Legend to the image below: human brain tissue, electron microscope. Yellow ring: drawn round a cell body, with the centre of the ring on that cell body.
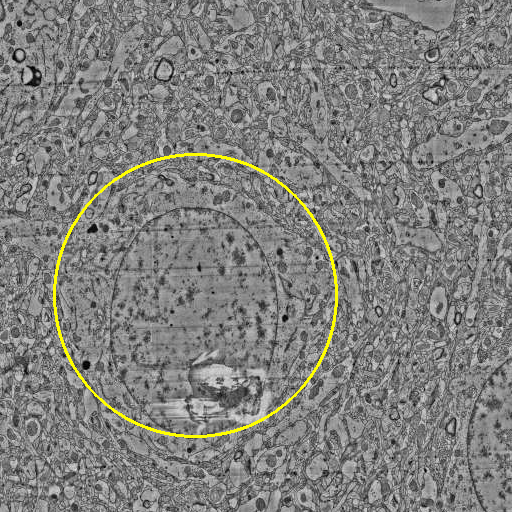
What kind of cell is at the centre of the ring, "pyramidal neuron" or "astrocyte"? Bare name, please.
pyramidal neuron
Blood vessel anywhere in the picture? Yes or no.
No, the image shows no blood vessel.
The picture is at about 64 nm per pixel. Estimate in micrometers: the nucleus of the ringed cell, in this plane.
In this plane, the nucleus is roughly 15 by 11 micrometres.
